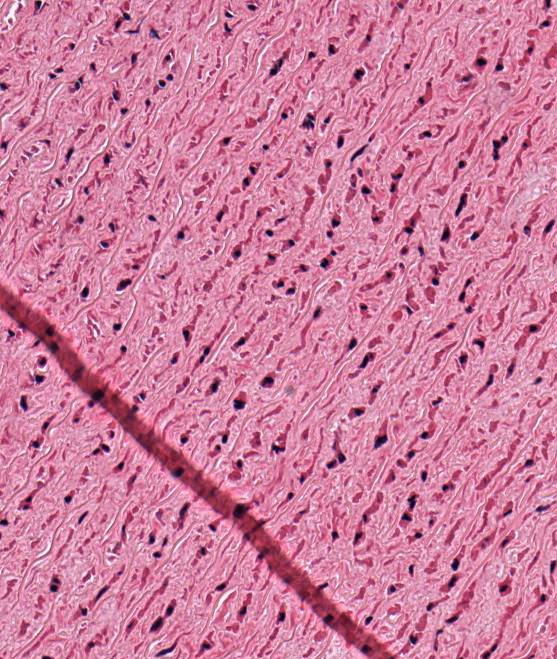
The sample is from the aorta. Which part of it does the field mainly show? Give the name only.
tunica media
